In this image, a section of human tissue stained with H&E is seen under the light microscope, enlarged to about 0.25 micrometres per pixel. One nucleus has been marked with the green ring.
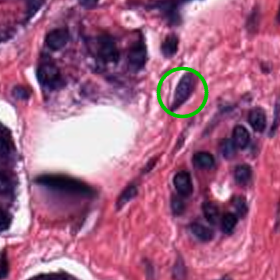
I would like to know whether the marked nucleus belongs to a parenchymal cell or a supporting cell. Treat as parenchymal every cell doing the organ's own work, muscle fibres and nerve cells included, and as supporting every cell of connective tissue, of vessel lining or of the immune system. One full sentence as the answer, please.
Attributed to a supporting cell is the marked nucleus.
